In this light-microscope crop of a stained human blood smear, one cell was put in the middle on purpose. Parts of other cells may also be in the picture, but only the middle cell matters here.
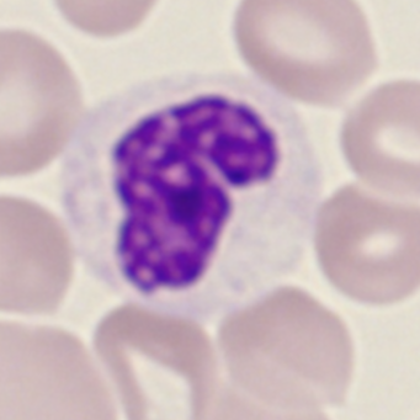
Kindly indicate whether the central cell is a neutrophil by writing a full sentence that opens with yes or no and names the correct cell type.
Yes, the cell at the center of the crop is a neutrophil.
